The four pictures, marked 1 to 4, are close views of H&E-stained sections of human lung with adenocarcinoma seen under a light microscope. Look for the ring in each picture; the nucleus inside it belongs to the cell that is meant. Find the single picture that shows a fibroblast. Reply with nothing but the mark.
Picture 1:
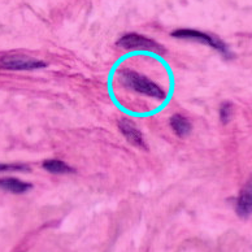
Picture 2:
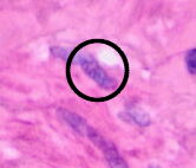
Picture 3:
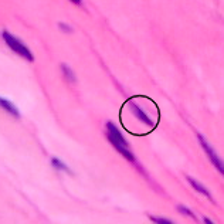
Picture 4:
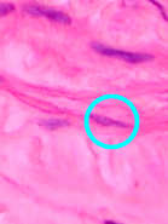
3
